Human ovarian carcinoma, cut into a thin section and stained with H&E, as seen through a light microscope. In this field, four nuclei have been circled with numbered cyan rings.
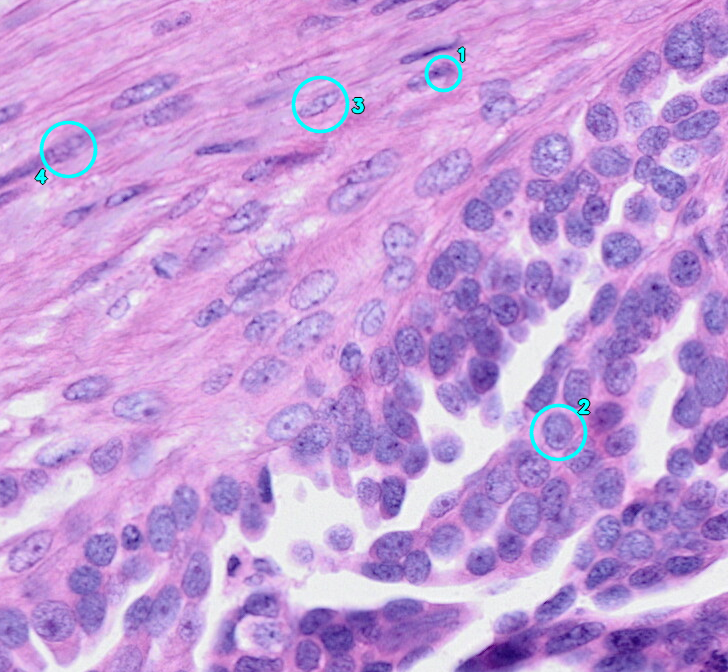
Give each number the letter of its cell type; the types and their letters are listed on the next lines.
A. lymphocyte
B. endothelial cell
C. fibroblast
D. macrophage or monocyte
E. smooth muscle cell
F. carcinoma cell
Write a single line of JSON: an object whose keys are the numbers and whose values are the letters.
{"1": "C", "2": "F", "3": "C", "4": "C"}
